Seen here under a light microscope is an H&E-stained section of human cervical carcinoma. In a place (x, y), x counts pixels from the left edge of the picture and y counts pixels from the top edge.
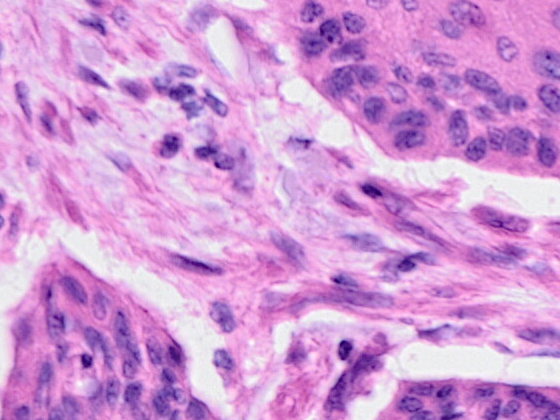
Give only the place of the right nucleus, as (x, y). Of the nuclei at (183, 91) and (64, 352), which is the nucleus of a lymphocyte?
(183, 91)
